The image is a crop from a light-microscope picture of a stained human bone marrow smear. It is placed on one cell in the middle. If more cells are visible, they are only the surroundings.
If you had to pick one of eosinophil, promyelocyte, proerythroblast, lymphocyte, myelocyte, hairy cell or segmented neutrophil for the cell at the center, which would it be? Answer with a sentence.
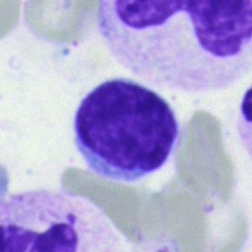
The centrally placed cell is classified as a lymphocyte.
